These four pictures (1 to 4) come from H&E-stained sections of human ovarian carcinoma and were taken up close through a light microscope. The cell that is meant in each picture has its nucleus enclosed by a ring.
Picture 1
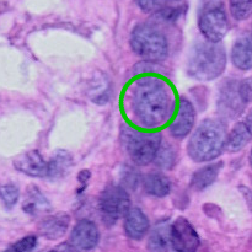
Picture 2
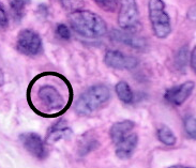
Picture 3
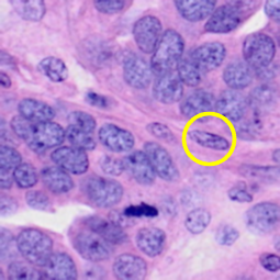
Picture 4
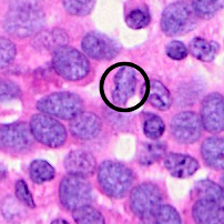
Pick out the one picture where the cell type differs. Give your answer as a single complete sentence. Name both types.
Unlike the rest, which show “macrophages or monocytes”, picture 1 shows a carcinoma cell.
